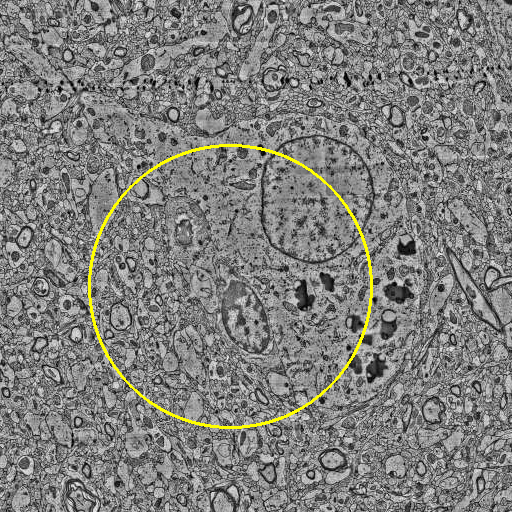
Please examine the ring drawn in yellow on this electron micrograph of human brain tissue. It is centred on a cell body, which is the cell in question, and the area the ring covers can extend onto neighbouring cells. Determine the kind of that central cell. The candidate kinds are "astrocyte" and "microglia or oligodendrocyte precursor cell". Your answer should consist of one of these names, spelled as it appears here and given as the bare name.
microglia or oligodendrocyte precursor cell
